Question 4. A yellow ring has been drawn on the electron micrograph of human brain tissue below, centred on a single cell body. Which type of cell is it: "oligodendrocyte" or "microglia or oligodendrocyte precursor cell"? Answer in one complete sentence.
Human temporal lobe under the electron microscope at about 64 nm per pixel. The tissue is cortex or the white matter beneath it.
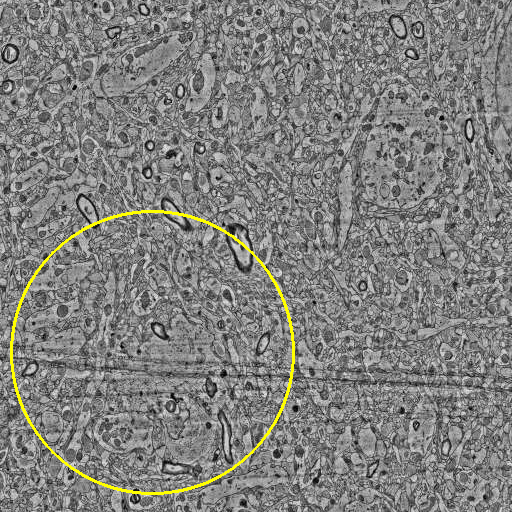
This cell body belongs to a microglial cell or oligodendrocyte precursor cell.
